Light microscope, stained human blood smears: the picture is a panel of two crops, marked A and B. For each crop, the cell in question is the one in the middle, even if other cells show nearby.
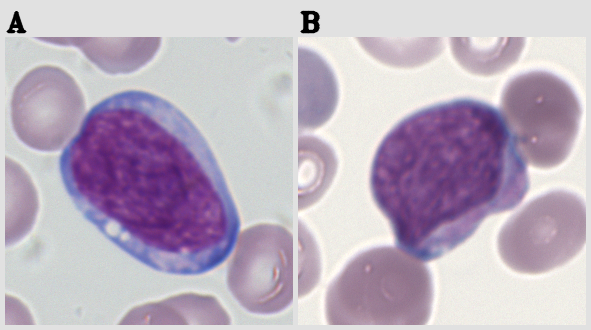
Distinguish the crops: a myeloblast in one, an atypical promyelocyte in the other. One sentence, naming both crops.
Shown in crop A is a myeloblast, and shown in crop B is an atypical promyelocyte.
